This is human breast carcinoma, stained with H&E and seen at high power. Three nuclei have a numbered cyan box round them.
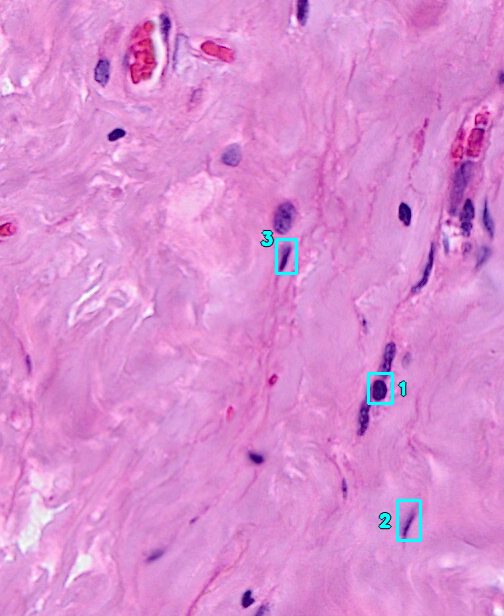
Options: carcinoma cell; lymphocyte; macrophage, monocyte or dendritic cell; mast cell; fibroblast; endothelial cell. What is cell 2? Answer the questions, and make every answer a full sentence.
The cell pointed out as number 2 is a fibroblast.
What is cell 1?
At number 1, the marked cell is a lymphocyte.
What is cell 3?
That cell with number 3 is a fibroblast.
